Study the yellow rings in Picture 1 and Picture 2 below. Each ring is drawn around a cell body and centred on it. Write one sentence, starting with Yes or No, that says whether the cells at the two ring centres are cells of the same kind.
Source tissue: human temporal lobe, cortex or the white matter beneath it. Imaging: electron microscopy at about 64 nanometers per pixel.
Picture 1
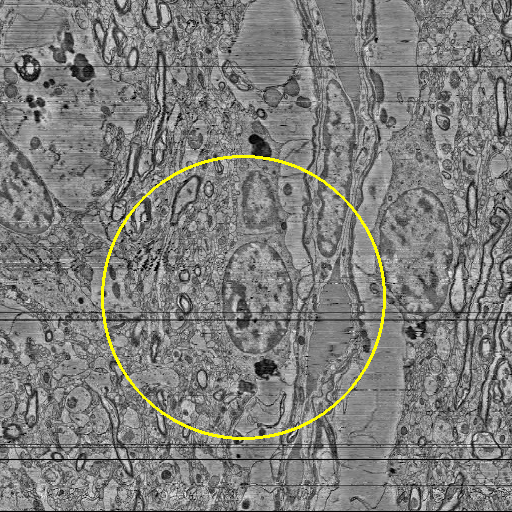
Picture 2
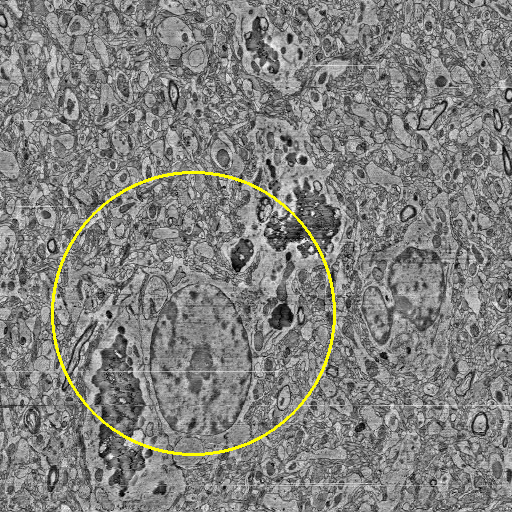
No, the cells at the ring centres are of two kinds.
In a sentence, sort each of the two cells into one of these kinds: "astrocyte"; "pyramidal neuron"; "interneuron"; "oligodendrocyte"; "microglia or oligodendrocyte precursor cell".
The first of the two cells is an oligodendrocyte, and the second is an astrocyte.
